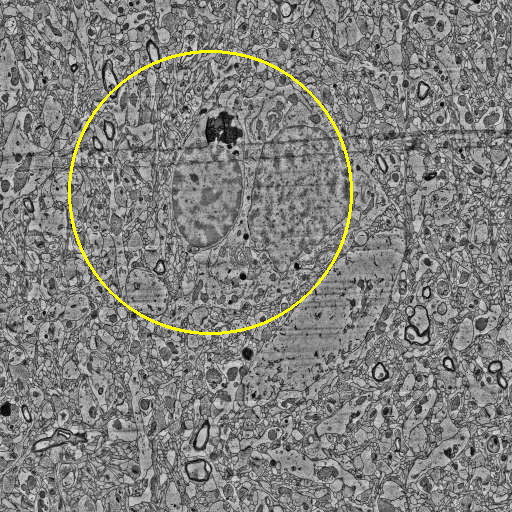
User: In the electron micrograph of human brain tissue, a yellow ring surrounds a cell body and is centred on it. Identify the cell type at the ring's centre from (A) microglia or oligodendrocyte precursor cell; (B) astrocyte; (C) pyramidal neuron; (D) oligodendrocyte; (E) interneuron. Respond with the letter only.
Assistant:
D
